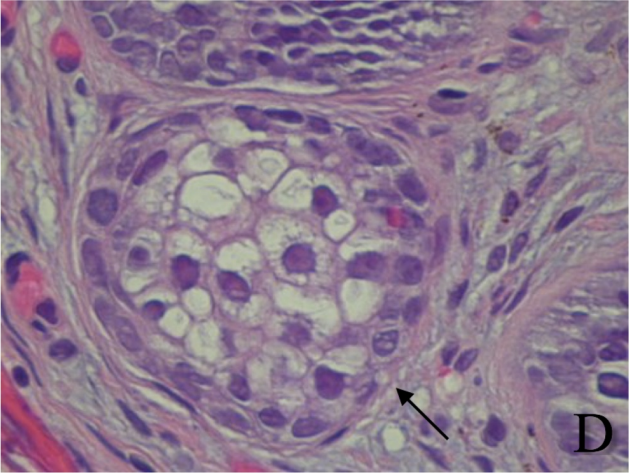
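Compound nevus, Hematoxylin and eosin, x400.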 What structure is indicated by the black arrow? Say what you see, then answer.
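A rounded lobule of cells with pale, finely vacuolated, bubbly cytoplasm. Nuclei are small, dark and centrally placed among the vacuoles. The lobule is bounded by a thin rim of flatter cells. So: sebaceous gland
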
